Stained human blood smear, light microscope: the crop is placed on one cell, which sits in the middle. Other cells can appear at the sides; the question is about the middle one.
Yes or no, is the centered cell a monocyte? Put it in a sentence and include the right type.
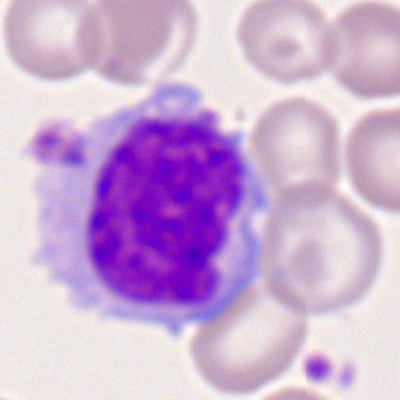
Yes, centred in the crop is a monocyte.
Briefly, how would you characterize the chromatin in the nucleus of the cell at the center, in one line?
Its nuclear chromatin is gathered into coarse clumps.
